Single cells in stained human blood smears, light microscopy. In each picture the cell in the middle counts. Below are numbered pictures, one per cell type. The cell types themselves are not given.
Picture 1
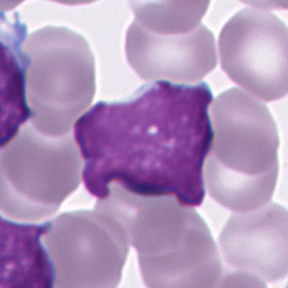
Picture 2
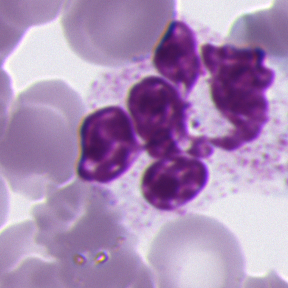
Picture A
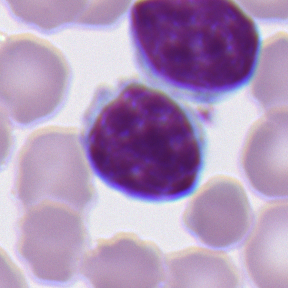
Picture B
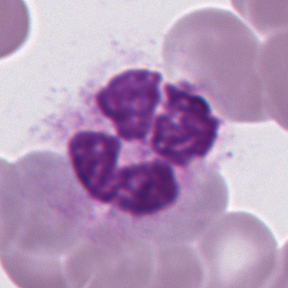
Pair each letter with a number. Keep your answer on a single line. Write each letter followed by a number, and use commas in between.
A 1, B 2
